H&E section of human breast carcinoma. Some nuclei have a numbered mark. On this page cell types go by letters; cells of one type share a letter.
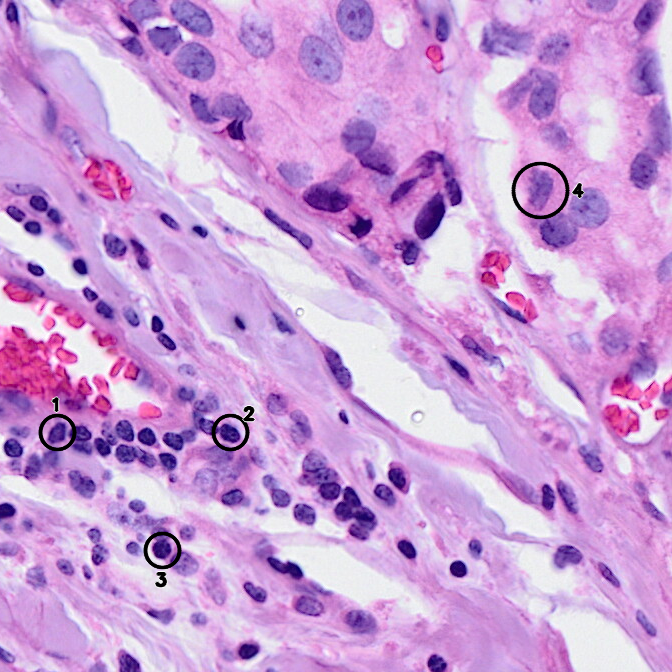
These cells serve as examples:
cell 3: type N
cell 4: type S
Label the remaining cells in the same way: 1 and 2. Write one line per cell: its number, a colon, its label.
1: type N
2: type N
